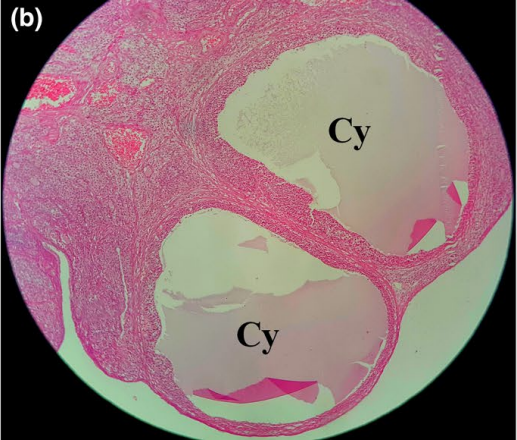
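This H&E-stained section of ovary is dominated by two large, fluid-filled cystic follicles with thin walls. Each cyst holds pale pink, finely granular material, with folded, darker pink fragments near its edges. The cyst walls are thin and lack a thick, multilayered granulosa lining. The surrounding stroma is compressed into concentric bands of elongated, spindle-shaped cells and pink fibres. To the left the stroma is more cellular and contains small vessels, one at the upper left filled with red blood cells.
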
